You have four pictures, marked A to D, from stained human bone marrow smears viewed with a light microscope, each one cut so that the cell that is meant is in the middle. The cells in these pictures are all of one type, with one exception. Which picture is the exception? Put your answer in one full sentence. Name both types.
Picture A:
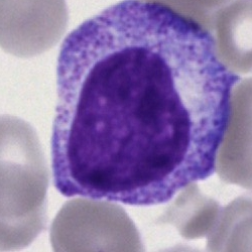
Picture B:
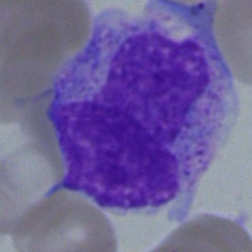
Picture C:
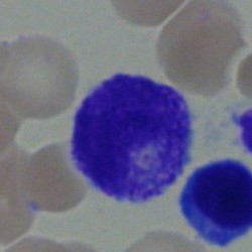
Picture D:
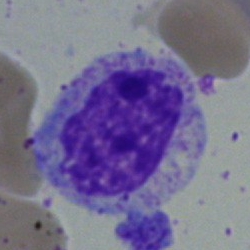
Unlike the rest, which show myelocytes, picture B shows a monocyte.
